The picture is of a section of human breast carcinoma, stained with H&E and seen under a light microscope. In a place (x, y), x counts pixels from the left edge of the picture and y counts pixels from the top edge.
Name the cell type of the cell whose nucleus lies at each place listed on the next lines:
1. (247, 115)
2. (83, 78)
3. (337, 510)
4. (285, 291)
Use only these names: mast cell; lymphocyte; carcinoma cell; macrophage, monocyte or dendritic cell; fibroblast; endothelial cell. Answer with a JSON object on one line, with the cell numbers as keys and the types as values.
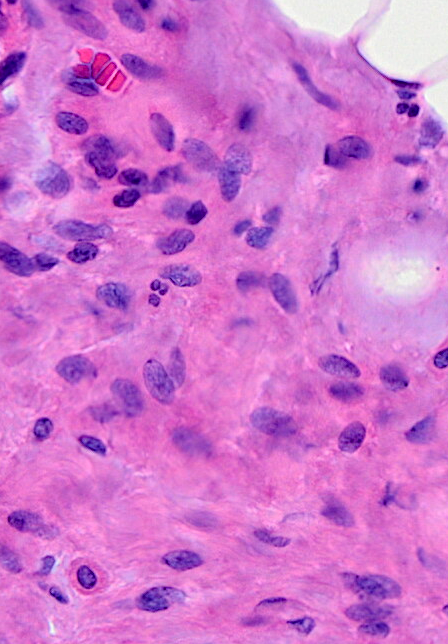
{"1": "fibroblast", "2": "endothelial cell", "3": "fibroblast", "4": "fibroblast"}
